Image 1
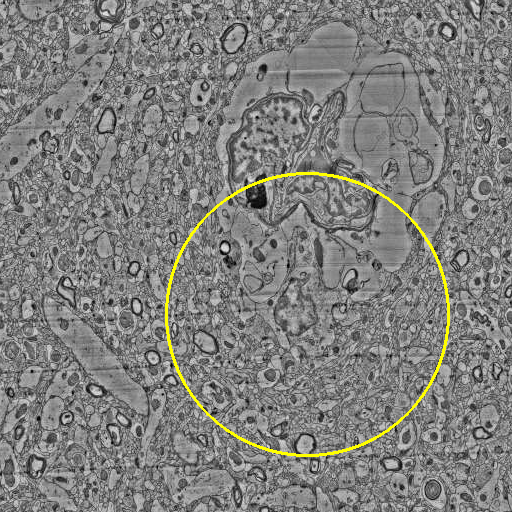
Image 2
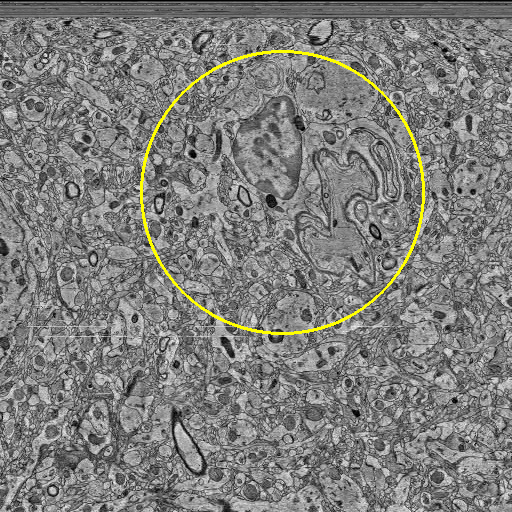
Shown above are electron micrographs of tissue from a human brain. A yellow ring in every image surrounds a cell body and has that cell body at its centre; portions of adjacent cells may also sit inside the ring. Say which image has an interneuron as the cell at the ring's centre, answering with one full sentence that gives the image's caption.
The image whose ring is centred on the requested cell is Image 1.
